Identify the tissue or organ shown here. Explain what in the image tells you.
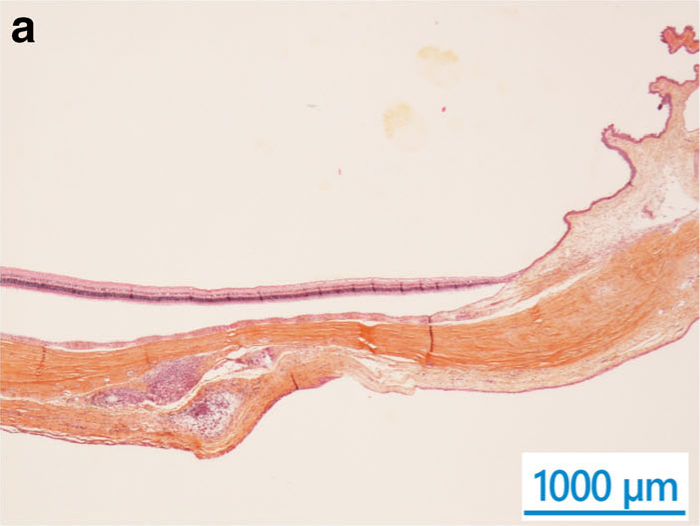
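Sclera. A thick band of orange-red, layered fibrous tissue forms the wall. A thin separate layer with a dark purple stripe lies above this band. A focal purple cellular patch lies within the lower part of the fibrous band.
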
